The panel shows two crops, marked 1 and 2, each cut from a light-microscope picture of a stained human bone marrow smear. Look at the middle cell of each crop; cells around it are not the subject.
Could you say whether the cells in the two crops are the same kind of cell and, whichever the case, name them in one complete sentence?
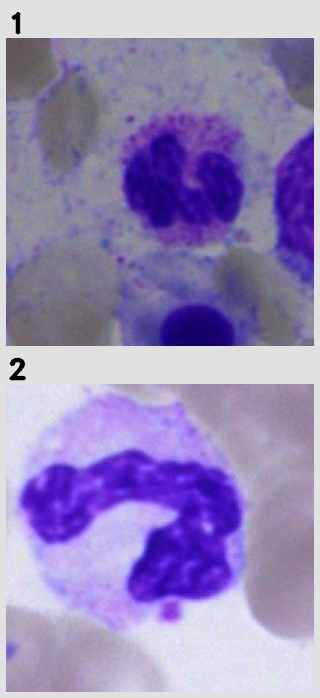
No, for crop 1 the cell is a basophil, and for crop 2 it is a neutrophil.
